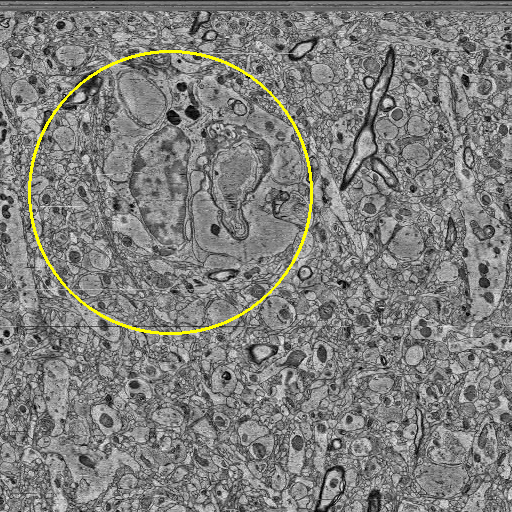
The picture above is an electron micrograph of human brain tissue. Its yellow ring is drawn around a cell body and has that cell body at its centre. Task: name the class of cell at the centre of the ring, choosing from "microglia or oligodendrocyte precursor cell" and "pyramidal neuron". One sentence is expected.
The ring surrounds the body of a microglial cell or oligodendrocyte precursor cell.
